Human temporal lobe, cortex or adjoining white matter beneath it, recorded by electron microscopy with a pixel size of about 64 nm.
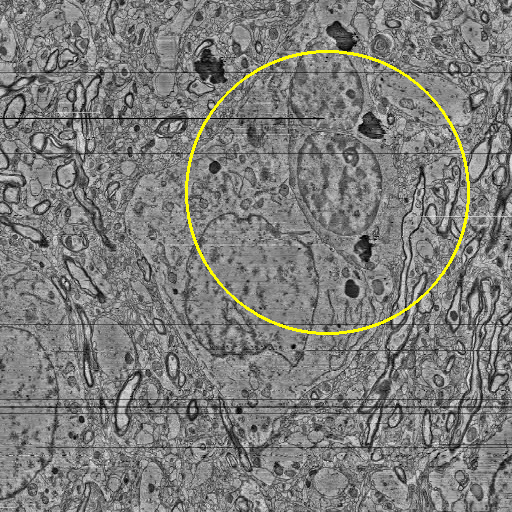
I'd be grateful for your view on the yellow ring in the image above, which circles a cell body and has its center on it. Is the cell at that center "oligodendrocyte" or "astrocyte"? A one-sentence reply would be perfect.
The cell at the center of the yellow ring is an oligodendrocyte.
